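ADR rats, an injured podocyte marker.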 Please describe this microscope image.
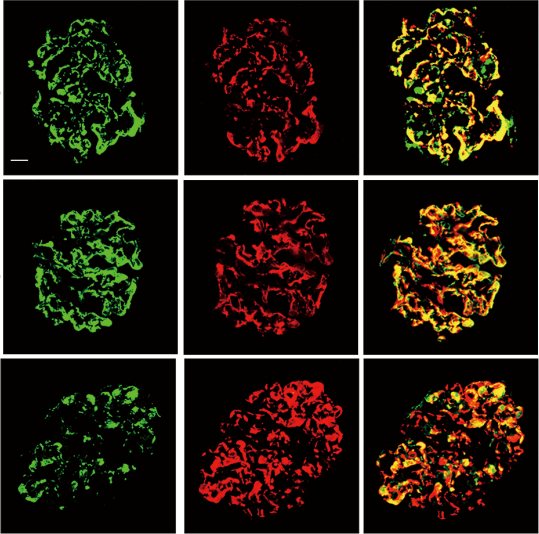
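Round glomerular tufts seen in three rows, each as a green channel, a red channel and their overlay. Both colours outline a convoluted, looping pattern that follows the capillary loops of the tuft rather than outlining single cells. In the overlays much of the green and red coincide as yellow along the loops, with some purely green or purely red stretches. The green signal in the lowest row is sparser and more fragmented than in the upper rows, while the red is dense throughout. Individual nuclei or cell borders cannot be made out.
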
